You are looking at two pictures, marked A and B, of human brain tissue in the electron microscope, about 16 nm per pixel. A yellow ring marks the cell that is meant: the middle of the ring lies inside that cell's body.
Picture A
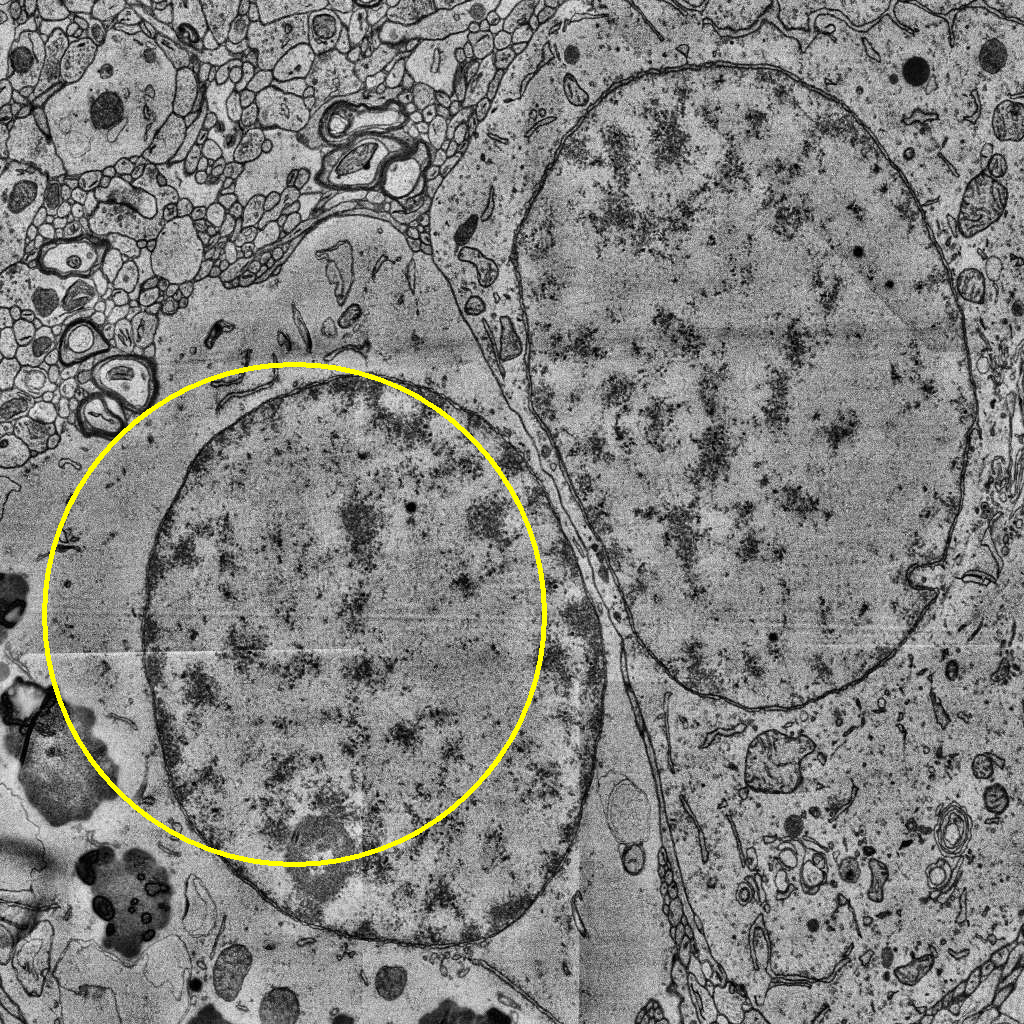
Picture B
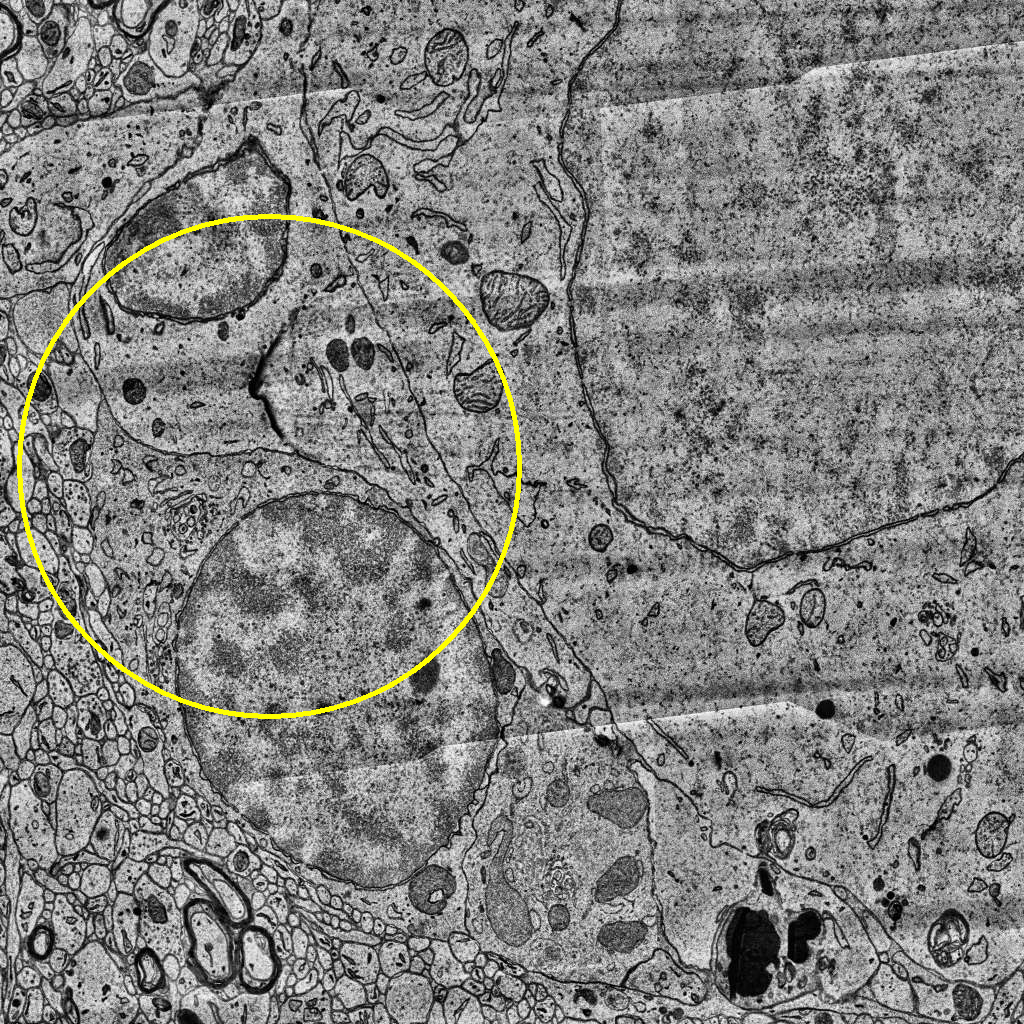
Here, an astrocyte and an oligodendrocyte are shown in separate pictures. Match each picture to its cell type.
The cell in picture A is an astrocyte, and the one in picture B is an oligodendrocyte.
